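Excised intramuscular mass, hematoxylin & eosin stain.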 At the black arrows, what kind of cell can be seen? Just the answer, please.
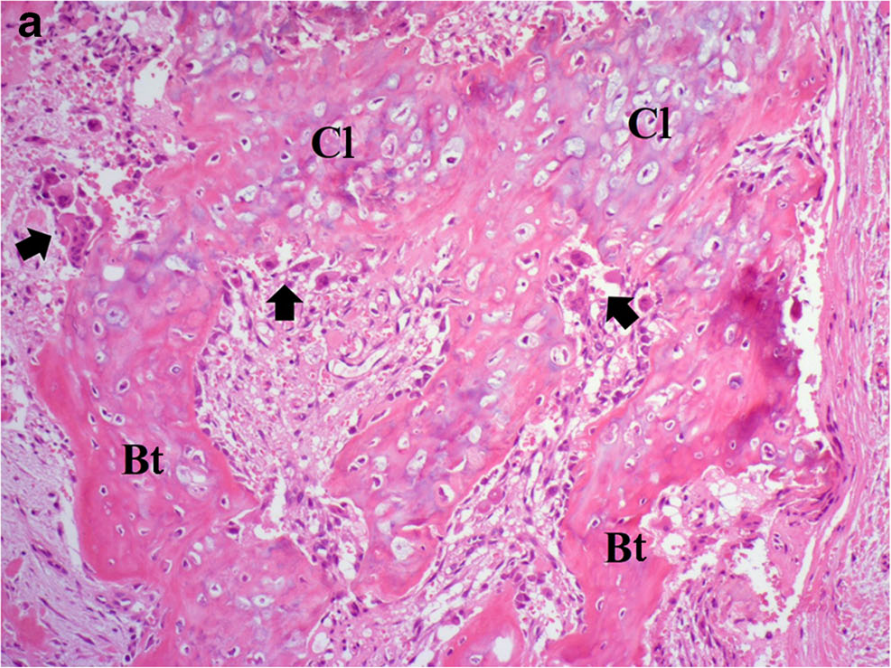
Osteoclasts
